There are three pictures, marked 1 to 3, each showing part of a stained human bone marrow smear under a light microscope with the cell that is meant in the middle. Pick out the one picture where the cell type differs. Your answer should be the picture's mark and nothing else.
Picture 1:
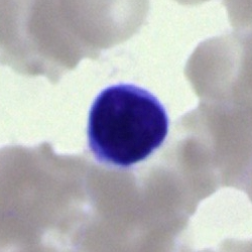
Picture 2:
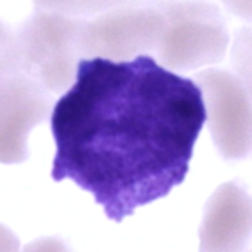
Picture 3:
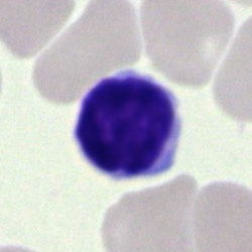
2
